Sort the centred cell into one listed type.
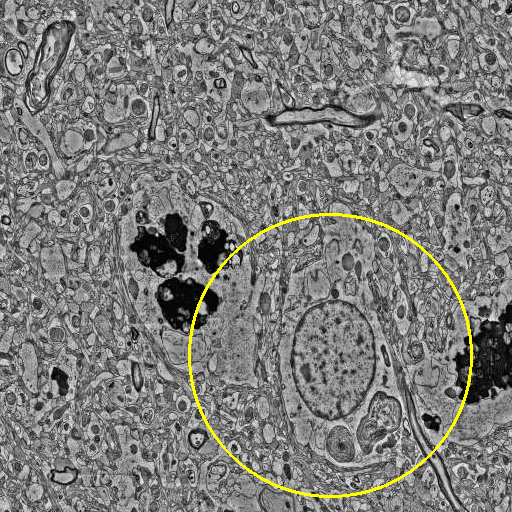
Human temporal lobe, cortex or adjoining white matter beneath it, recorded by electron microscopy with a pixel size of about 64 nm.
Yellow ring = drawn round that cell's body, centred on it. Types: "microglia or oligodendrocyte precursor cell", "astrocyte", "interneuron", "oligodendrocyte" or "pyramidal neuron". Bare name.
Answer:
astrocyte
